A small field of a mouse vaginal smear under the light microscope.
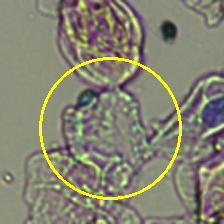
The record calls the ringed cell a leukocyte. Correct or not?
Not correct; it is a cornified epithelial cell.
